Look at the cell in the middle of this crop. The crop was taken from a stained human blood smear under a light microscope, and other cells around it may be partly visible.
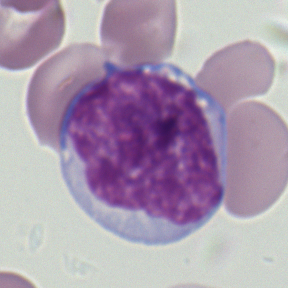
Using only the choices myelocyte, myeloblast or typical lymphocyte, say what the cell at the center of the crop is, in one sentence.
In the middle of this smear crop, the cell is a myeloblast.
